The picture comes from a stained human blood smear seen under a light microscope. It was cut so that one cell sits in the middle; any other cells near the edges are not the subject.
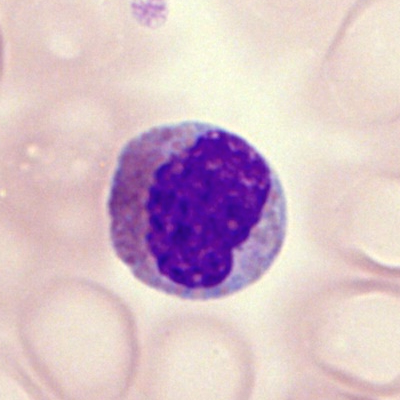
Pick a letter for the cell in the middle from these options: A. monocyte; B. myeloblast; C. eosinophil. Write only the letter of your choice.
C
